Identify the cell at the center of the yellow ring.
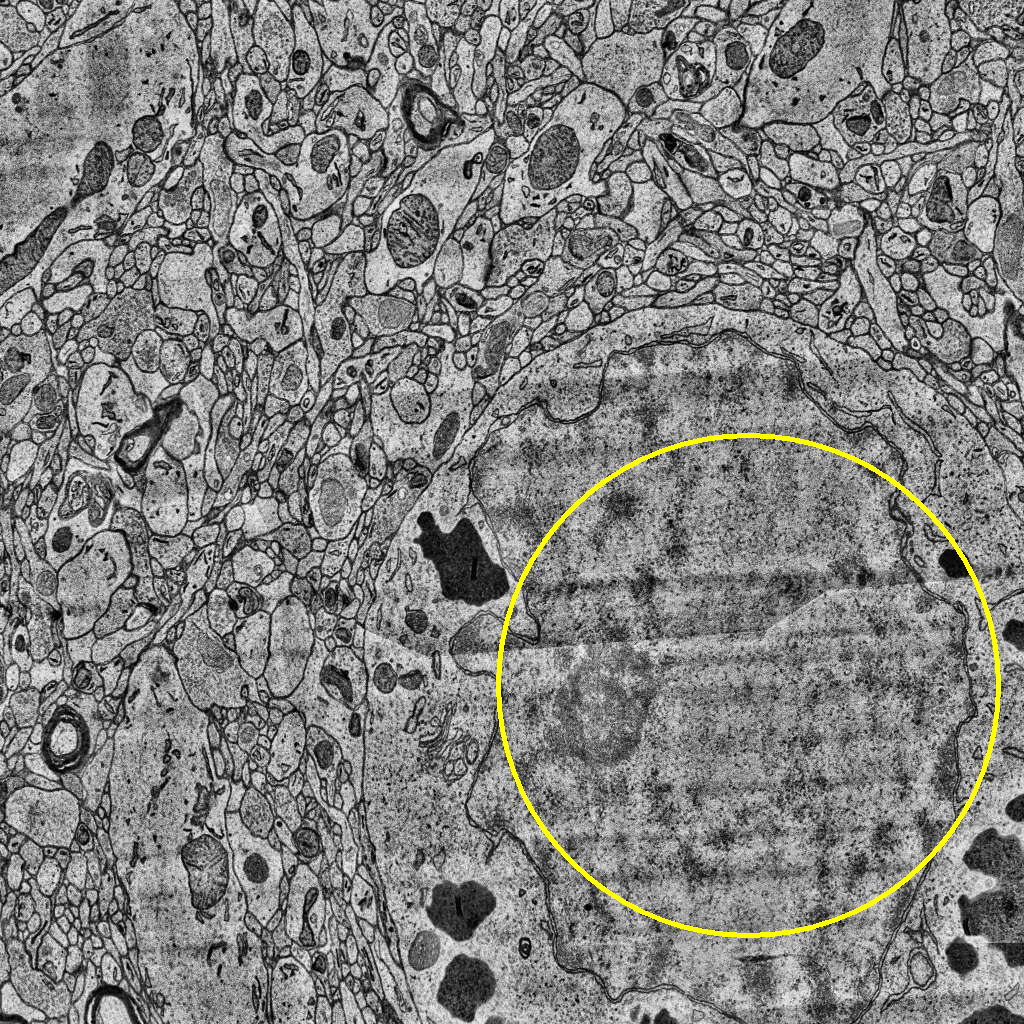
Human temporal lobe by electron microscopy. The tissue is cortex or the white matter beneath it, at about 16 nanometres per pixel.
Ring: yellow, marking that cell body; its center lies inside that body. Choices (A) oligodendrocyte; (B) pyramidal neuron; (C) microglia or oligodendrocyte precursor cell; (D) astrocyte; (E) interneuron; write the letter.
E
